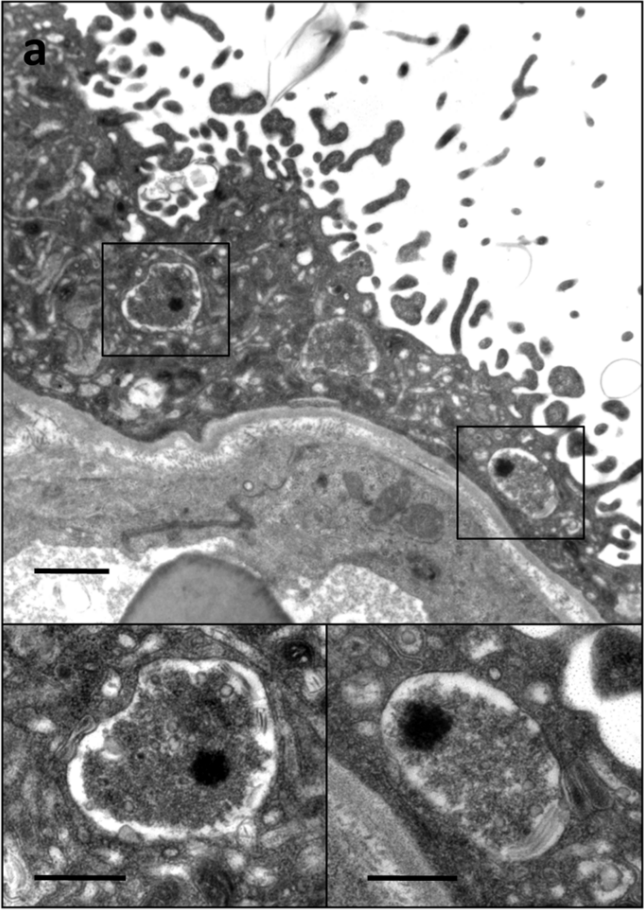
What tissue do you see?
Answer: Trophoblast layer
